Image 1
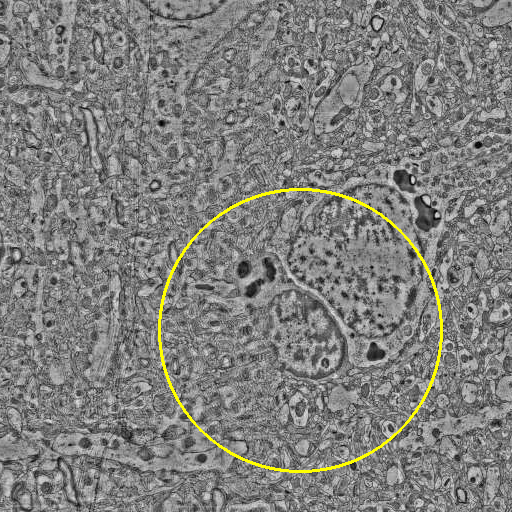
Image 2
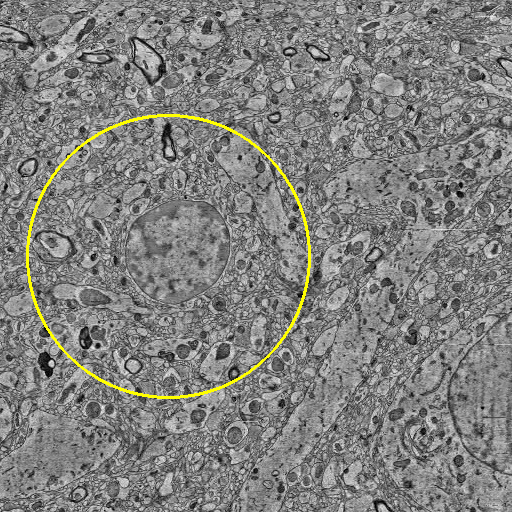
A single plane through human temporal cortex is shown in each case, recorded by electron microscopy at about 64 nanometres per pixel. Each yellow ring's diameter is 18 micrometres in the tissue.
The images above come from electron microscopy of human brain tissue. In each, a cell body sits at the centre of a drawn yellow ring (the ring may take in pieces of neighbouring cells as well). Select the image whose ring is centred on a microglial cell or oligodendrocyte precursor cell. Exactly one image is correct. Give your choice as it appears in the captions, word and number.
Image 2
